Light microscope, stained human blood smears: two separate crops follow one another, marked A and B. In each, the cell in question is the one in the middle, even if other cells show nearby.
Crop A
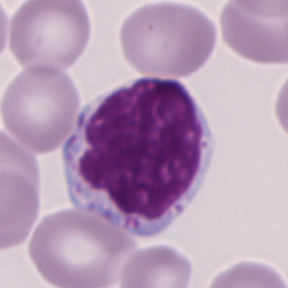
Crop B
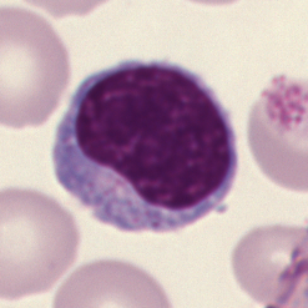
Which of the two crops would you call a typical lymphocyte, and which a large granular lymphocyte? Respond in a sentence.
Crop A holds a large granular lymphocyte; a typical lymphocyte occupies crop B.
